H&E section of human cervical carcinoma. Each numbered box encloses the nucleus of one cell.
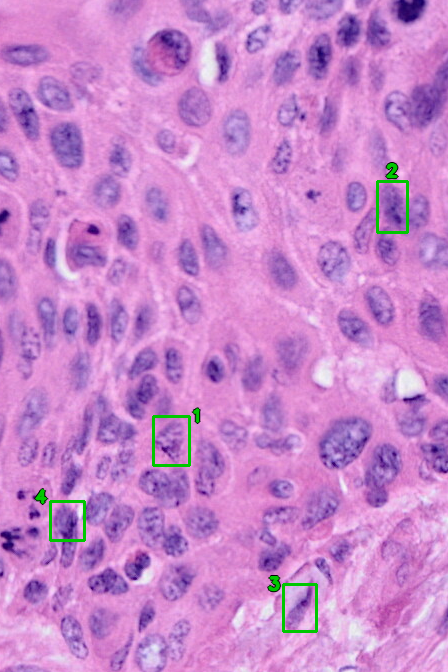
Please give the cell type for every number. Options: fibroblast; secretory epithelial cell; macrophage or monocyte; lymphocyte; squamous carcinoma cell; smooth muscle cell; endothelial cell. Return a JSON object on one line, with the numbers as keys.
{"1": "squamous carcinoma cell", "2": "squamous carcinoma cell", "3": "fibroblast", "4": "squamous carcinoma cell"}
